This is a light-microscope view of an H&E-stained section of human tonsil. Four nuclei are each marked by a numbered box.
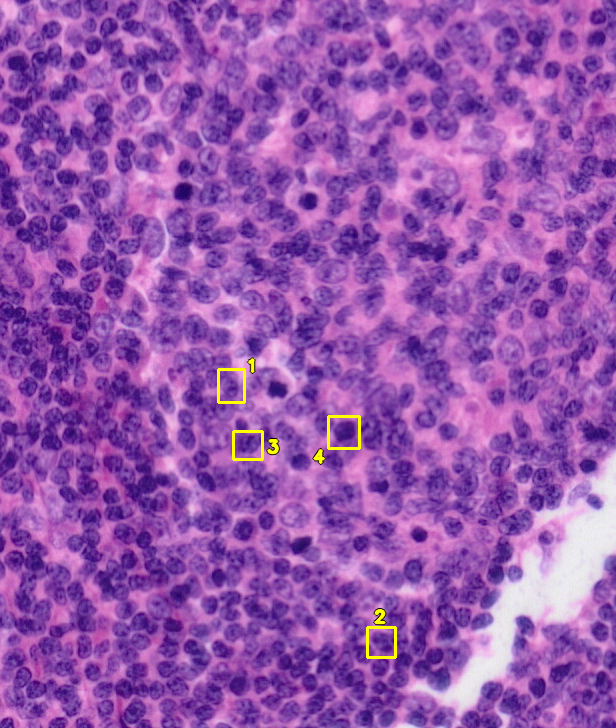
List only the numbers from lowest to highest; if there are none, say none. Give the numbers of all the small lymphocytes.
2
